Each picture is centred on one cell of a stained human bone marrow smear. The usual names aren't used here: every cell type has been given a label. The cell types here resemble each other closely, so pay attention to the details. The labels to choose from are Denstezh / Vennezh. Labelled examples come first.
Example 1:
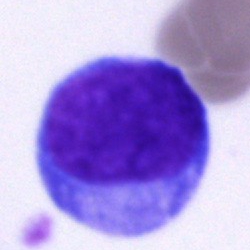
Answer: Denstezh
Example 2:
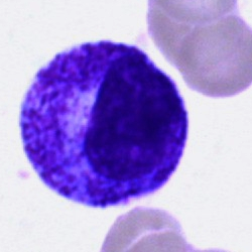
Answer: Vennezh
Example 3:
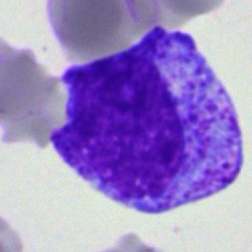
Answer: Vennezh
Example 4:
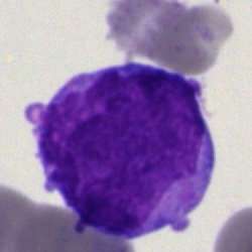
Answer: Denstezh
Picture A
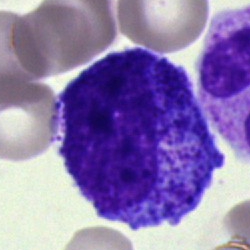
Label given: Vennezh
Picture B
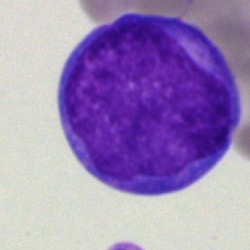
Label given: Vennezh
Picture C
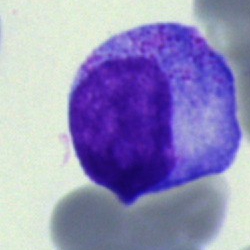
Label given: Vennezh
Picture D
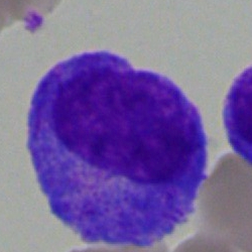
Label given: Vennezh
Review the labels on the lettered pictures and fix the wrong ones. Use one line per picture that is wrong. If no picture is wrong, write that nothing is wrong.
B should be Denstezh, not Vennezh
